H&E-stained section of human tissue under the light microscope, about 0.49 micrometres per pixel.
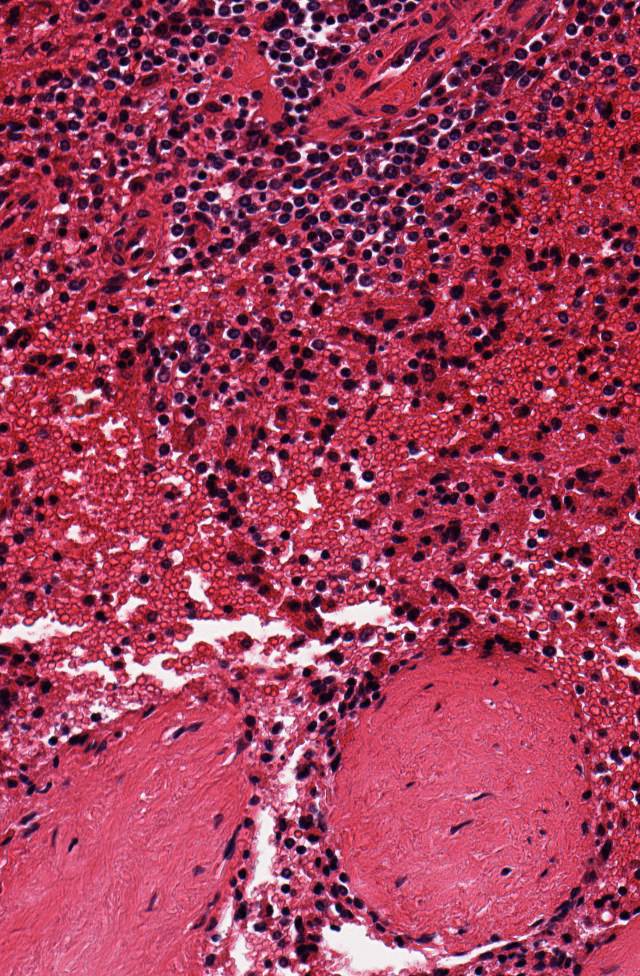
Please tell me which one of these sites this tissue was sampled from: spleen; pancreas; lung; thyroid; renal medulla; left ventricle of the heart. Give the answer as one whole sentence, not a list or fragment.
In this section is tissue sampled from the spleen.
